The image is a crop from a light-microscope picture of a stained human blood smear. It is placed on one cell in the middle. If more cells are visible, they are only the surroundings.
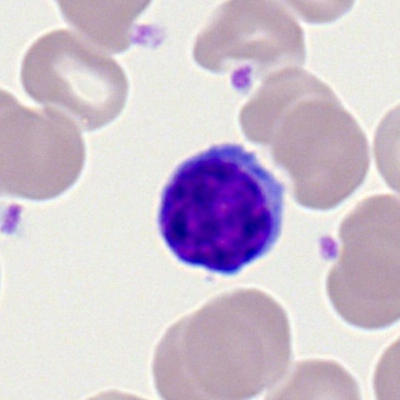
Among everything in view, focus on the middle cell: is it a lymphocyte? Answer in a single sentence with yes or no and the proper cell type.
Yes, the cell in the center of the field is a lymphocyte.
